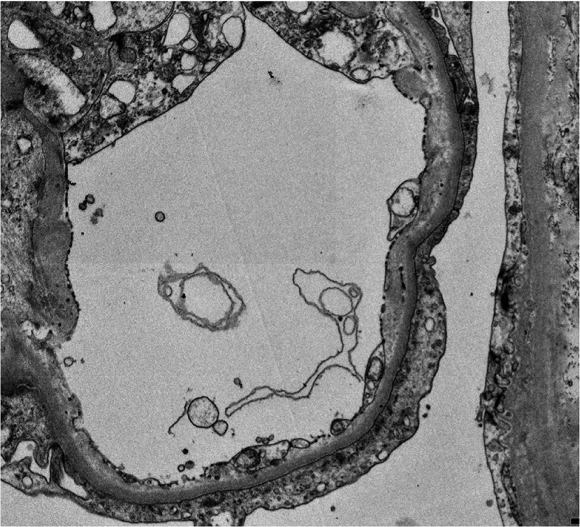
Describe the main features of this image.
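Here one capillary loop of a glomerulus is seen at higher magnification. The wide pale lumen in the middle is nearly empty, with only a few membrane fragments and small vesicles. The wall is formed by a broad, evenly dark-grey basement membrane that follows the curve of the loop. On its inner face lies a thin rim of endothelial cytoplasm; on its outer face sits epithelial cytoplasm with many small vacuoles and dark granules, resting on the membrane. At the upper left and right, parts of neighbouring cells and another wall are cut.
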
